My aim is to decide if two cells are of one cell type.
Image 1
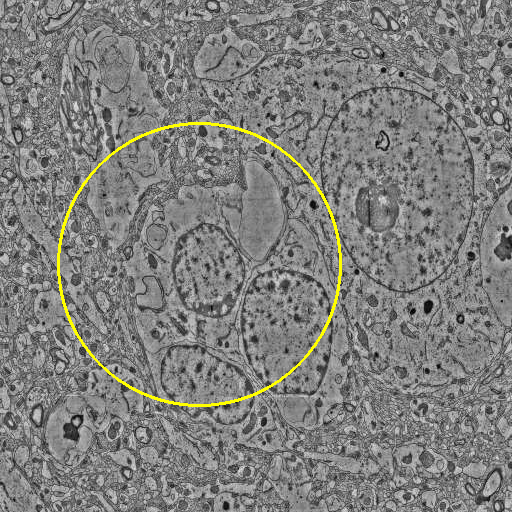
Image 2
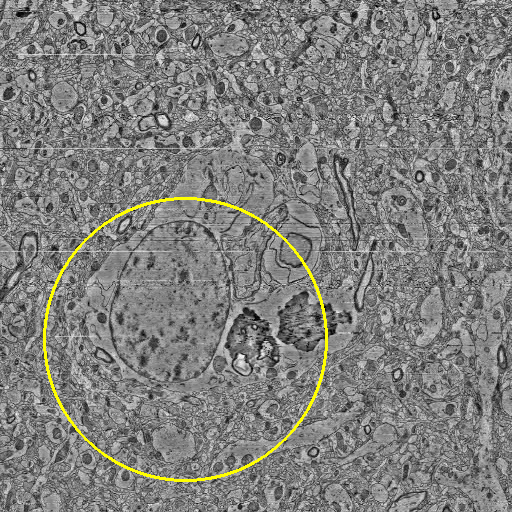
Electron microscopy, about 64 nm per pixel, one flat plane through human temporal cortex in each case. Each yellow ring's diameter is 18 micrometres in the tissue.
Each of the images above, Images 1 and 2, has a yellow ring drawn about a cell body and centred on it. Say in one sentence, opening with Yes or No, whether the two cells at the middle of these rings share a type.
Yes, in Images 1 and 2 the cells at the middle of the rings share one type.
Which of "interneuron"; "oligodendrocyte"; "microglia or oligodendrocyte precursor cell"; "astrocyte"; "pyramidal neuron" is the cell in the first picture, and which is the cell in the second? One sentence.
Each cell, in the first picture and the second, is an astrocyte.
